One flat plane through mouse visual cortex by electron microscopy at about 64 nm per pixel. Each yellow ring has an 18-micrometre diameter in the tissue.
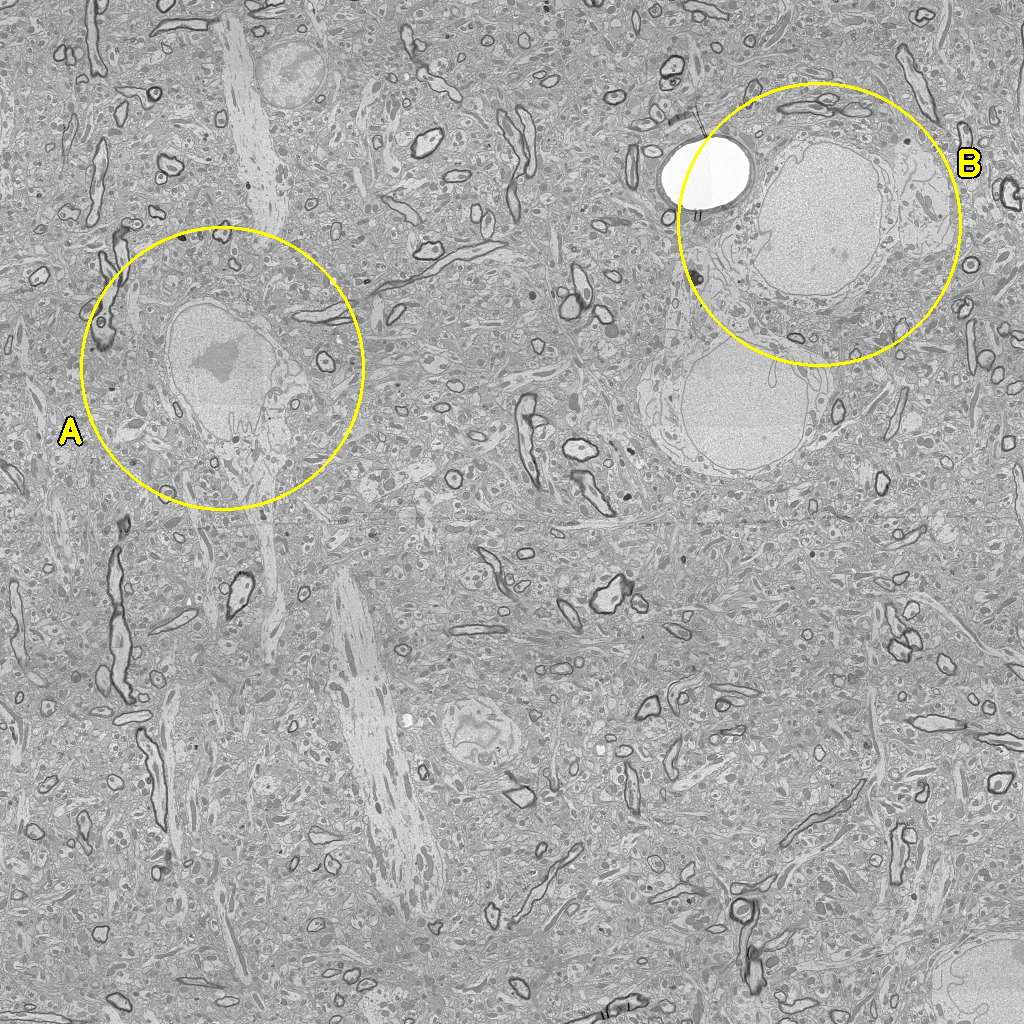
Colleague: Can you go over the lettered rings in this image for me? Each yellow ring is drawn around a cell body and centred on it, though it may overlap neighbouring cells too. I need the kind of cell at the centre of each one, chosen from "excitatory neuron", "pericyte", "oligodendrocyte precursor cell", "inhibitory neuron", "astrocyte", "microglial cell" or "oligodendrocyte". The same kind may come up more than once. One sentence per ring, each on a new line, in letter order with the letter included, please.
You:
Ring A marks the cell body of an inhibitory neuron.
Ring B marks the cell body of an excitatory neuron.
